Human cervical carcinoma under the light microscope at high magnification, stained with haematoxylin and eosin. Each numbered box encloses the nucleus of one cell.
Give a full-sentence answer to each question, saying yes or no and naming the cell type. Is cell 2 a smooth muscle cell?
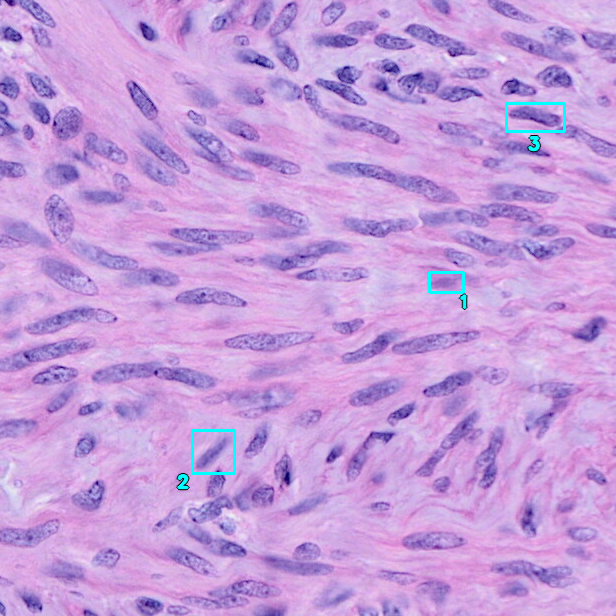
No, the cell referred to as 2 is a fibroblast, not a smooth muscle cell.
